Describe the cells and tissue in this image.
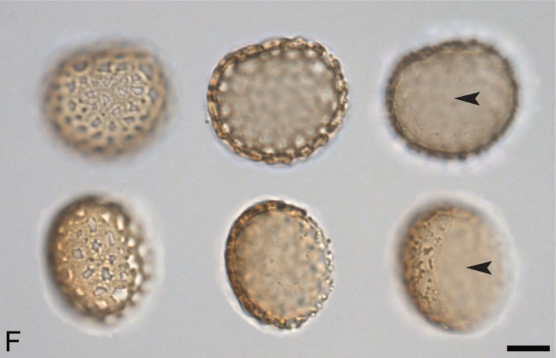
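On the surface focus the wall shows a network of ridges enclosing irregular lumina; in the middle focus the wall appears as a thick beaded rim around an empty, pale interior. The grains are rounded to slightly oval.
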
